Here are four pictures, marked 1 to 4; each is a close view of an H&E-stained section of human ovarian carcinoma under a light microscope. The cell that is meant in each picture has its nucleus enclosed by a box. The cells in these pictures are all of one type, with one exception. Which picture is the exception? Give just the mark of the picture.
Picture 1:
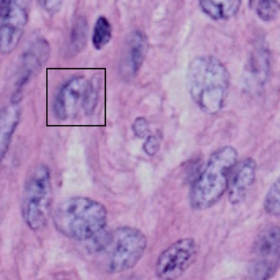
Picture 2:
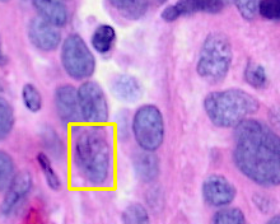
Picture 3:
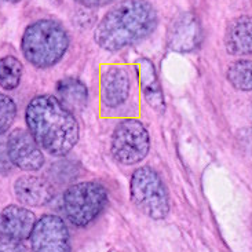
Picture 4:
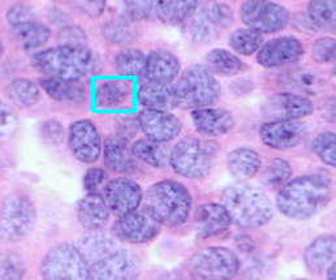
1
